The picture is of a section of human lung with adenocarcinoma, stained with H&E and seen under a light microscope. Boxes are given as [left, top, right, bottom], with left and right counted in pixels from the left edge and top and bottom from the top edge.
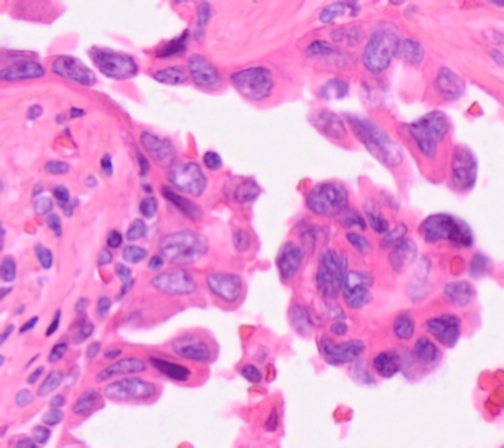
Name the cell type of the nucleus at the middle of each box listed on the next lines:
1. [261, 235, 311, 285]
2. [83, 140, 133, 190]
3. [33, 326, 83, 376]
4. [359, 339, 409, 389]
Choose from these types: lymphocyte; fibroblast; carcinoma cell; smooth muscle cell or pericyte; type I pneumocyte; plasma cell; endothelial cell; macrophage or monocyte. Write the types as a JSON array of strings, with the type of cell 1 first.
["carcinoma cell", "lymphocyte", "plasma cell", "carcinoma cell"]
